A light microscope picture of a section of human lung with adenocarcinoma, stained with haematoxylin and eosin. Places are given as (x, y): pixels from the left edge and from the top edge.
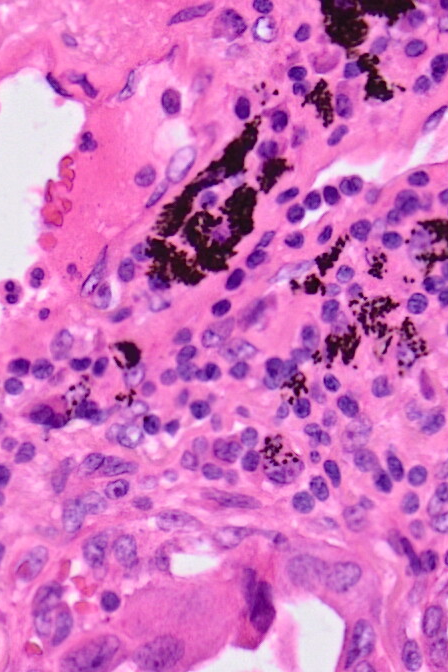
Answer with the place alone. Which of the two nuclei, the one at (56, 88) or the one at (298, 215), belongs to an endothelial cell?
(56, 88)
